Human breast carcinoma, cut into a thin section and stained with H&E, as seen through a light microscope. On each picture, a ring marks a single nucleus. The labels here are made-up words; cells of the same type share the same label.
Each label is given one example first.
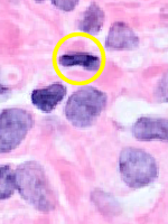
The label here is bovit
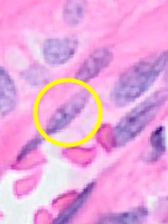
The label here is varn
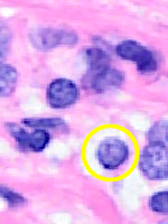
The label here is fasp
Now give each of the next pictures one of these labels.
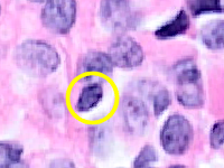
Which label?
bovit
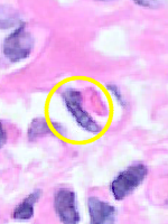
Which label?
varn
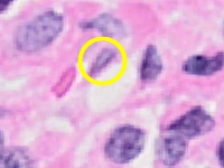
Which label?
varn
